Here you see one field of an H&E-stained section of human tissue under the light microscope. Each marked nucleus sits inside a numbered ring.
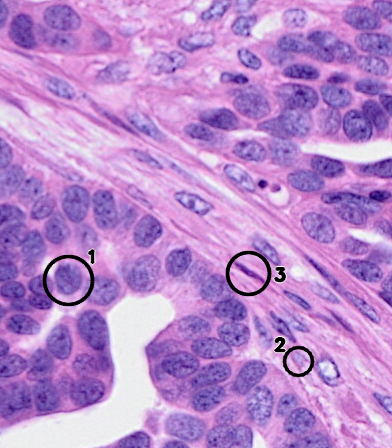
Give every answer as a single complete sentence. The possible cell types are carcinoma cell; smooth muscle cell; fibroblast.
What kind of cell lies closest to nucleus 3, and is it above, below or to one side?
A fibroblast lies closest, above and to the right of nucleus 3.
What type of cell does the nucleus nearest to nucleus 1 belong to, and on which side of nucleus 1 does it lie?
The closest nucleus belongs to a carcinoma cell and sits to the left of nucleus 1.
